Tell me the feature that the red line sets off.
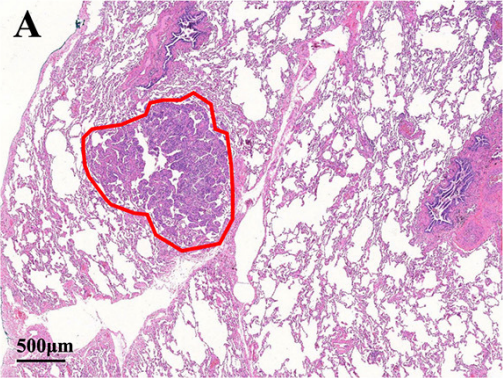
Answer: meningothelial-like nodule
